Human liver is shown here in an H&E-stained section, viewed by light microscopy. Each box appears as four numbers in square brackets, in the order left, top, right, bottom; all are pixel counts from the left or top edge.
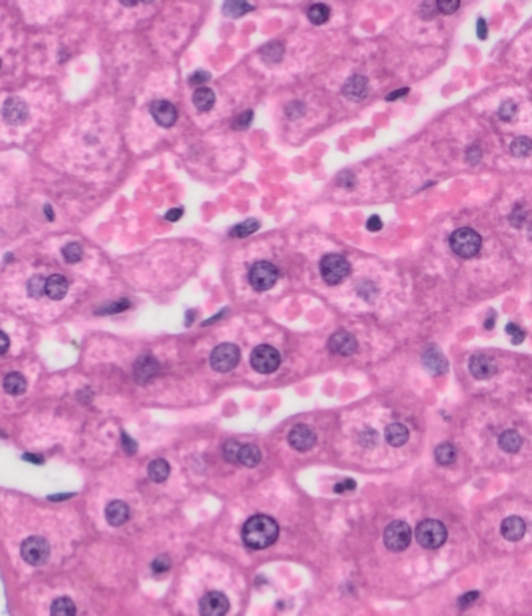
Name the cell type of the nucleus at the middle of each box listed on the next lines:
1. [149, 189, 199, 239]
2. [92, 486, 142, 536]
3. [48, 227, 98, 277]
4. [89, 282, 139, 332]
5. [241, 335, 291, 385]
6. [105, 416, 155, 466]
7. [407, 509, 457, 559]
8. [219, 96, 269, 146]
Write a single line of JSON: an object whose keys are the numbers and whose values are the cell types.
{"1": "lymphocyte", "2": "hepatocyte", "3": "hepatocyte", "4": "Kupffer cell", "5": "hepatocyte", "6": "endothelial cell", "7": "hepatocyte", "8": "endothelial cell"}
